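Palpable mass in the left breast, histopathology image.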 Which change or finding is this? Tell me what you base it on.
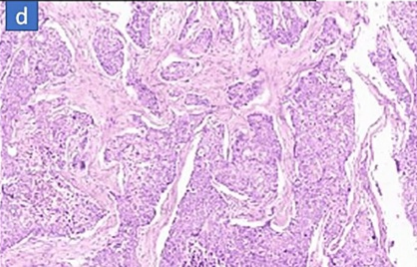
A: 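Tumor cells arranged in a solid pattern. Crowded cells with purple nuclei form solid sheets and nests without glandular lumens. The nests are separated by bands of paler pink fibrous tissue.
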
